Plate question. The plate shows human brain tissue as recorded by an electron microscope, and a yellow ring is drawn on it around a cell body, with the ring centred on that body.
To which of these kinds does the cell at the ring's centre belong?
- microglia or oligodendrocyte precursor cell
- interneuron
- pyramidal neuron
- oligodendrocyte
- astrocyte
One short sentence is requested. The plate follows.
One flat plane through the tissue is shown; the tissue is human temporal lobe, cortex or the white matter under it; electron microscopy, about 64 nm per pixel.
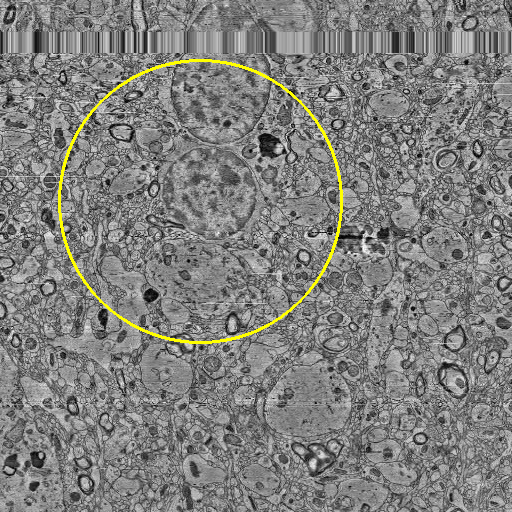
The cell at the ring's centre is an oligodendrocyte.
